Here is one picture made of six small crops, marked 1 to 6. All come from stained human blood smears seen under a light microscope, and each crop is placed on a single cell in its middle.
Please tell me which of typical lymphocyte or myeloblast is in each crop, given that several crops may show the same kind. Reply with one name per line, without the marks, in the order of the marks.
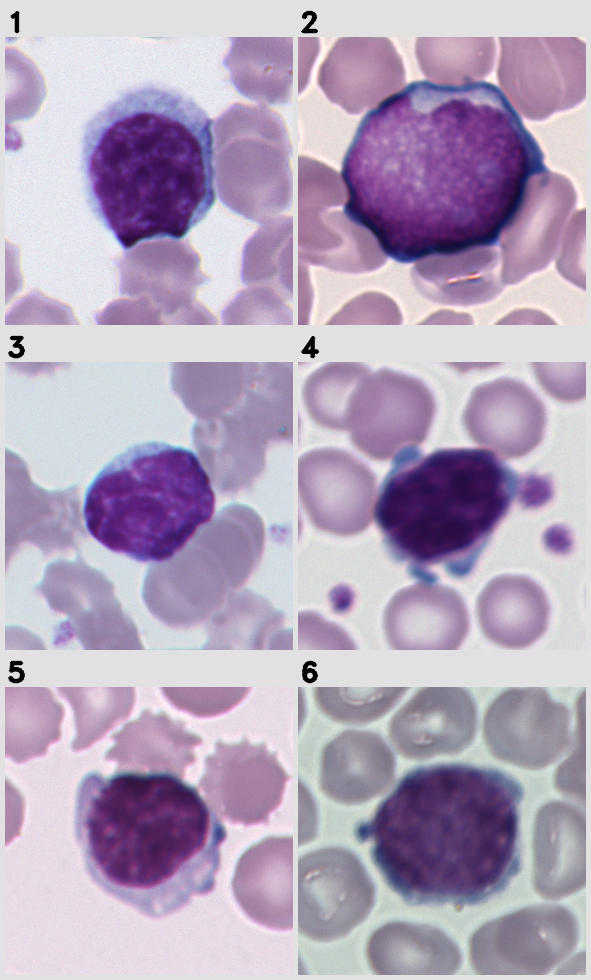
typical lymphocyte
myeloblast
typical lymphocyte
typical lymphocyte
typical lymphocyte
myeloblast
